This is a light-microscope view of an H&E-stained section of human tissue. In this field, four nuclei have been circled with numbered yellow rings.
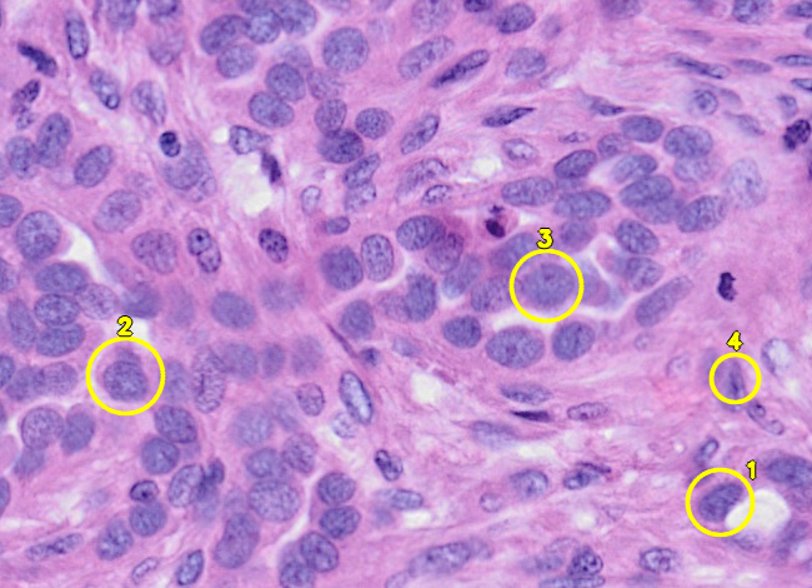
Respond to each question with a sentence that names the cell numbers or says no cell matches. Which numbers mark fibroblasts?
Cell 4 is a fibroblast, and this holds for no other numbered cell.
